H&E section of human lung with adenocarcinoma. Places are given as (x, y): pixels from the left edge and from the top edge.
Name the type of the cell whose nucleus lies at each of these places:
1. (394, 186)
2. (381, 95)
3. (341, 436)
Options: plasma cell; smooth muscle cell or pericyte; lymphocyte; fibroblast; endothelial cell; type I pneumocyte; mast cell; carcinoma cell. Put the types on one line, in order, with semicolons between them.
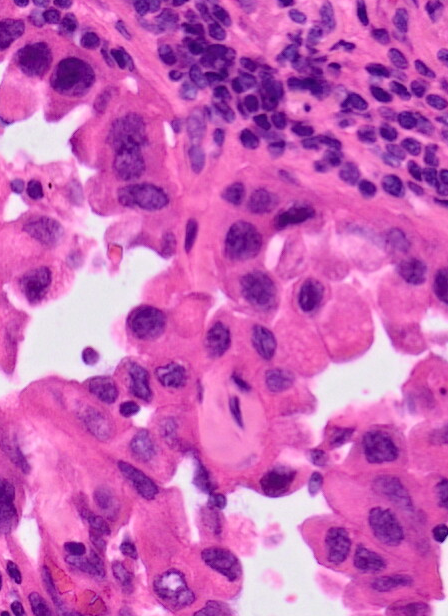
lymphocyte; lymphocyte; carcinoma cell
